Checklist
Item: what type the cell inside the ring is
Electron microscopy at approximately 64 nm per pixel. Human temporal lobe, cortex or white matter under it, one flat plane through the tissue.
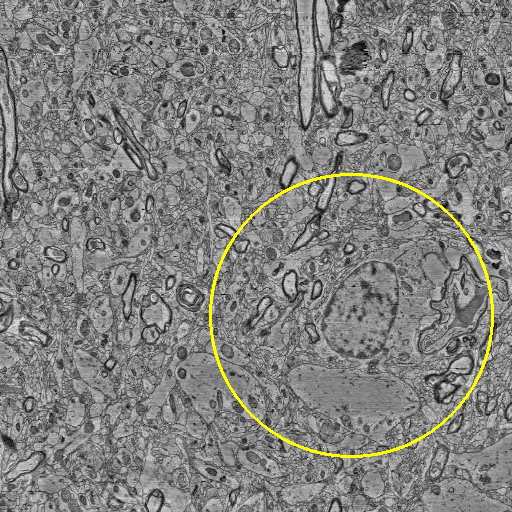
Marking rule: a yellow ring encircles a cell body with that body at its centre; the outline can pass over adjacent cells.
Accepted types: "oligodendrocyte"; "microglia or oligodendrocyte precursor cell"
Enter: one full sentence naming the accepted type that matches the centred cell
The entry is that a microglial cell or oligodendrocyte precursor cell lies at the centre of the yellow ring.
